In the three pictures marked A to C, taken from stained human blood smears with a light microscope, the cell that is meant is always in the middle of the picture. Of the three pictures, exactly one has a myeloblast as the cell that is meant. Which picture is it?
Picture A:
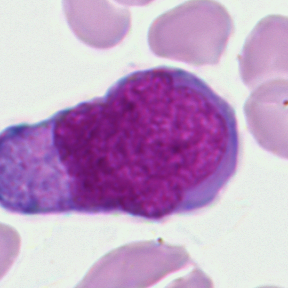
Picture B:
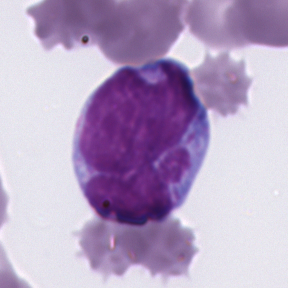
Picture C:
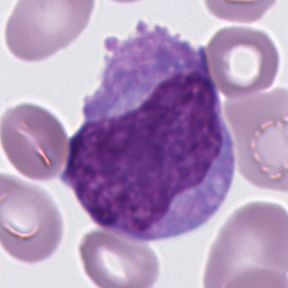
B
